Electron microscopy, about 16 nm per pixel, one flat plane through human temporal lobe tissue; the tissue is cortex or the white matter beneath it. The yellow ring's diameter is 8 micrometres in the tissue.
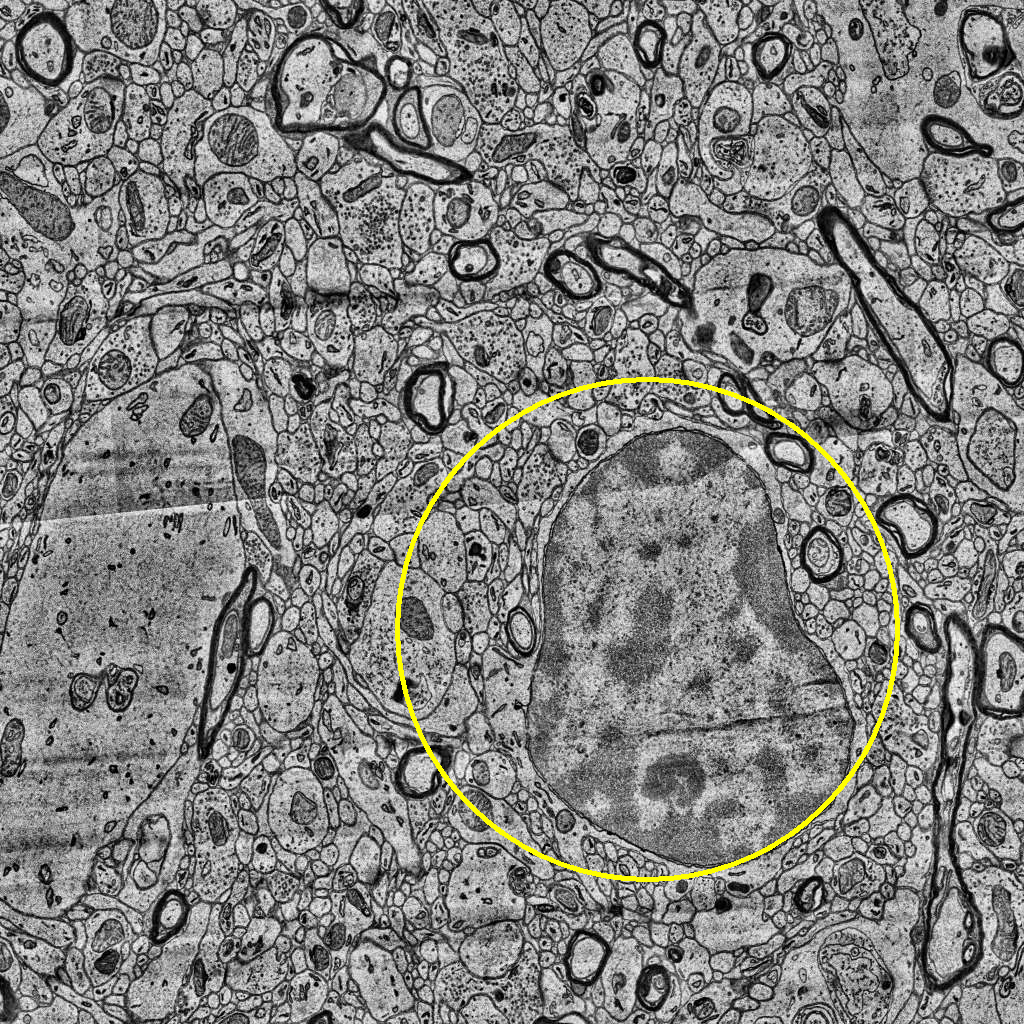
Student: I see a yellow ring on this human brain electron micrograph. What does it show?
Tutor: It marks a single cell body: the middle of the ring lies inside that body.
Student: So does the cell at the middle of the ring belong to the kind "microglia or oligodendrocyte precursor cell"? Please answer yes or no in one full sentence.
Yes, the cell lying at the middle of that yellow ring belongs to this kind.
